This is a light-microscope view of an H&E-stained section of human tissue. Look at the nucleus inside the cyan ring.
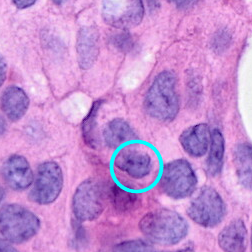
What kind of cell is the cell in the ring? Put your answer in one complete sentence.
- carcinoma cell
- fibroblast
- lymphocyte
In this field of tissue, the cell in the ring is a carcinoma cell.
